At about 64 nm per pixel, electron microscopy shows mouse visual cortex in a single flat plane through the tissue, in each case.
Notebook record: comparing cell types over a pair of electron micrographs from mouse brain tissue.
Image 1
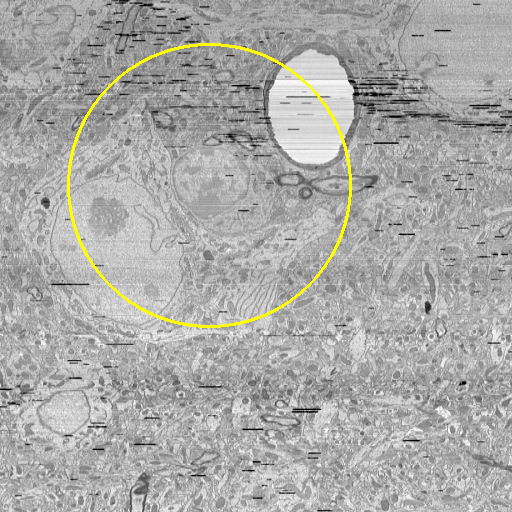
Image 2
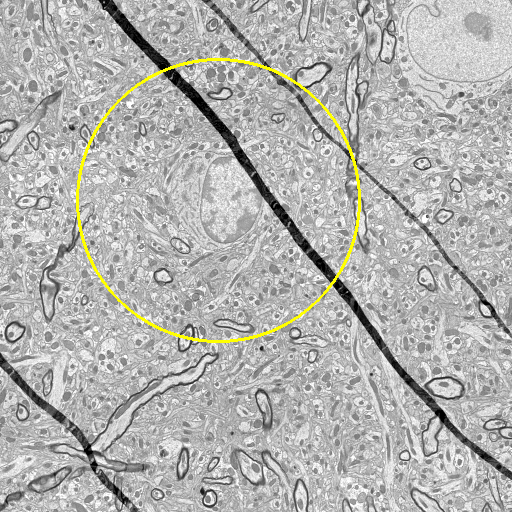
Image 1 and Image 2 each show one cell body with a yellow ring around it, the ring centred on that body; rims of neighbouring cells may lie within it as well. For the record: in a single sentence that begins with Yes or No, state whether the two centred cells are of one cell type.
Yes, one cell type is shared by the centred cells of Image 1 and Image 2.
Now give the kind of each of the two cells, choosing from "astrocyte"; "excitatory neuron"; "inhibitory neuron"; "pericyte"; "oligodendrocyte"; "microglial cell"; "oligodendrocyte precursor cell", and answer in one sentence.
The ring centre holds an oligodendrocyte in each of the two pictures.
